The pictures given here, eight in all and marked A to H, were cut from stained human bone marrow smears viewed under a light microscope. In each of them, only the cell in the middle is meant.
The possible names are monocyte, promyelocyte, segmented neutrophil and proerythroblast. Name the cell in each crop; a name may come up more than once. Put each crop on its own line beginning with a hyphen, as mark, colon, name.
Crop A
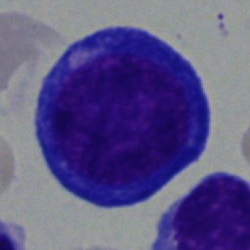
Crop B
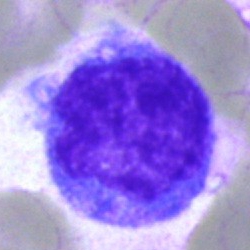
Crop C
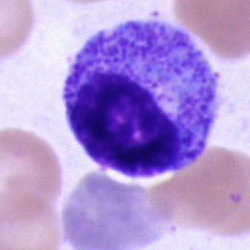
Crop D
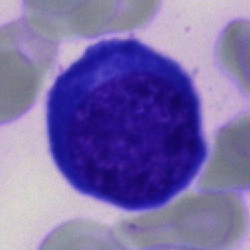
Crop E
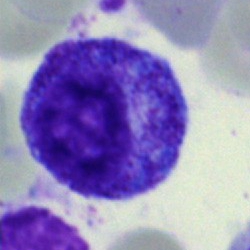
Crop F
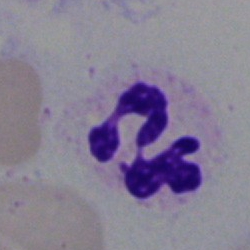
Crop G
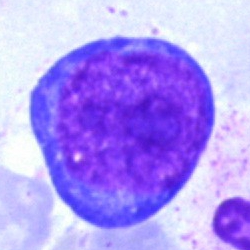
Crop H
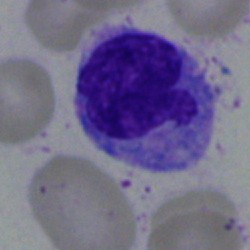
- A: proerythroblast
- B: promyelocyte
- C: promyelocyte
- D: proerythroblast
- E: promyelocyte
- F: segmented neutrophil
- G: proerythroblast
- H: monocyte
